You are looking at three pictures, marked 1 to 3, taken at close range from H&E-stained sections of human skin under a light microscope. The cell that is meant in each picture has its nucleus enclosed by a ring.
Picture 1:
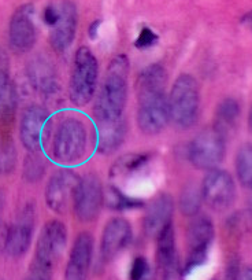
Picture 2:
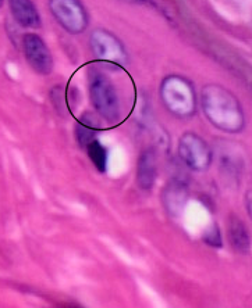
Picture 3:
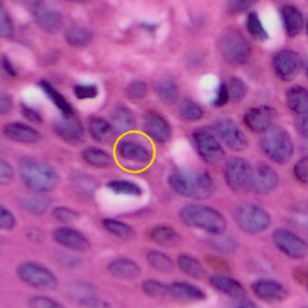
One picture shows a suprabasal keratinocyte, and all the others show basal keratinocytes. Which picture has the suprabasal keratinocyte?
1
